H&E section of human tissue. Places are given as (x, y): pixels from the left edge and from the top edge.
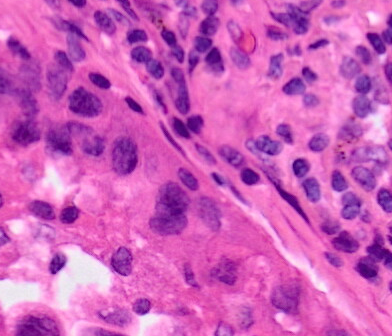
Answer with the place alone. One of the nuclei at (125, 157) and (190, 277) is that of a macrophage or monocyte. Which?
(190, 277)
